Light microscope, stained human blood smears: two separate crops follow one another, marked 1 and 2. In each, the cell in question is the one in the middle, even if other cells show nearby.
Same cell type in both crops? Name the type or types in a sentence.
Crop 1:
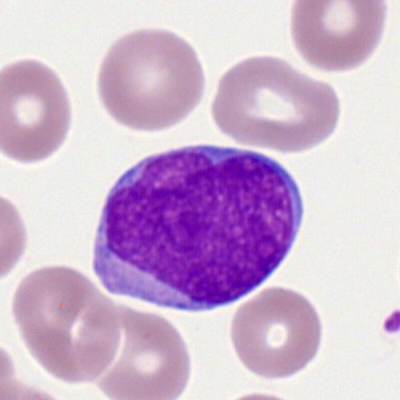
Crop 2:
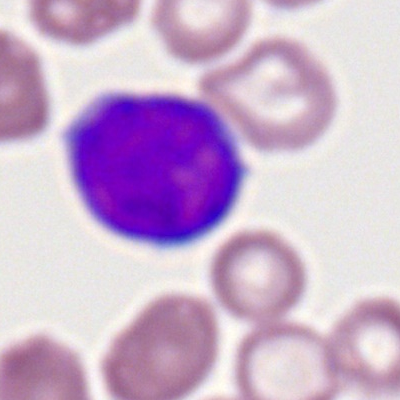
Yes, myeloblasts are centred in both crops.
